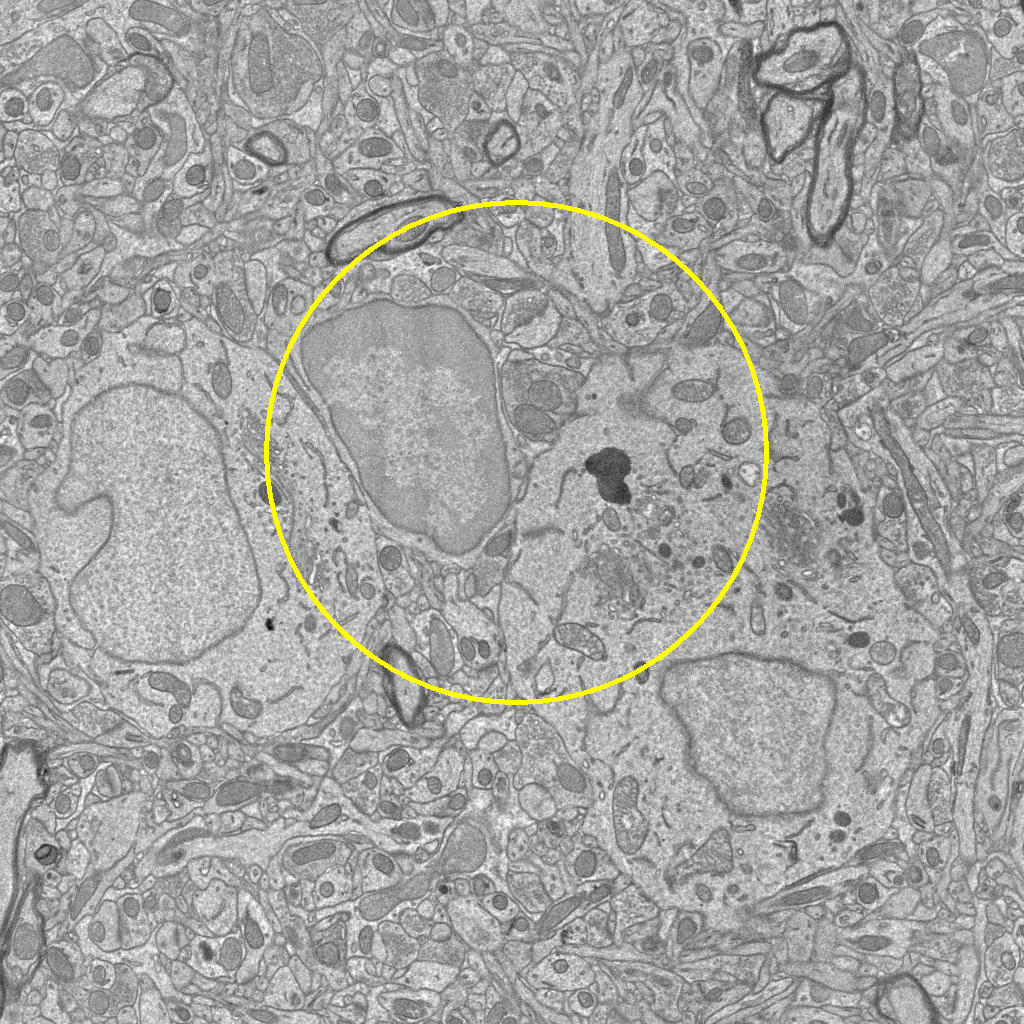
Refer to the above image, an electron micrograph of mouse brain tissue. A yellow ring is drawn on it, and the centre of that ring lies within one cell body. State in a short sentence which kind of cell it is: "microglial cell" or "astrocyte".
The centre of the ring falls on a microglial cell.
